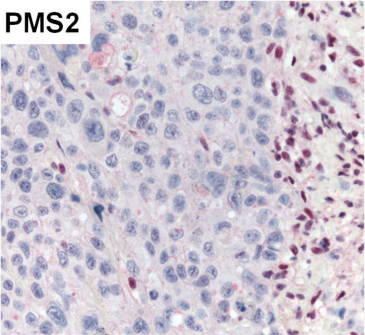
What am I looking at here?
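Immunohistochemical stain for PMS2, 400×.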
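This section shows a carcinoma made of sheets of large neoplastic cells, with small infiltrating lymphocytes at the right. The tumor cells have large, pleomorphic, vesicular nuclei, several with prominent nucleoli, and moderate pale cytoplasm.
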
